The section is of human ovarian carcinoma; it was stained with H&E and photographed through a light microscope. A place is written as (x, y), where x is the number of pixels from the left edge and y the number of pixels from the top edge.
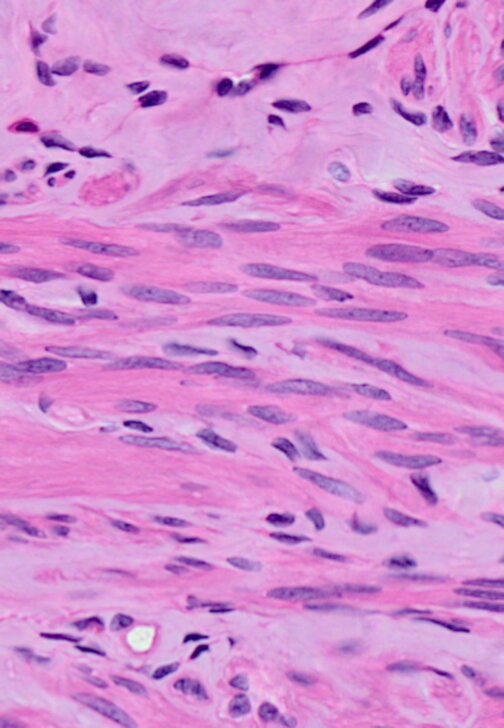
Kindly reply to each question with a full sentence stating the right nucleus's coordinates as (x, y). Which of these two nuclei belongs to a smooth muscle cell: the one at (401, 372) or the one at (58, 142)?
The nucleus contained in a smooth muscle cell is the one at (401, 372).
